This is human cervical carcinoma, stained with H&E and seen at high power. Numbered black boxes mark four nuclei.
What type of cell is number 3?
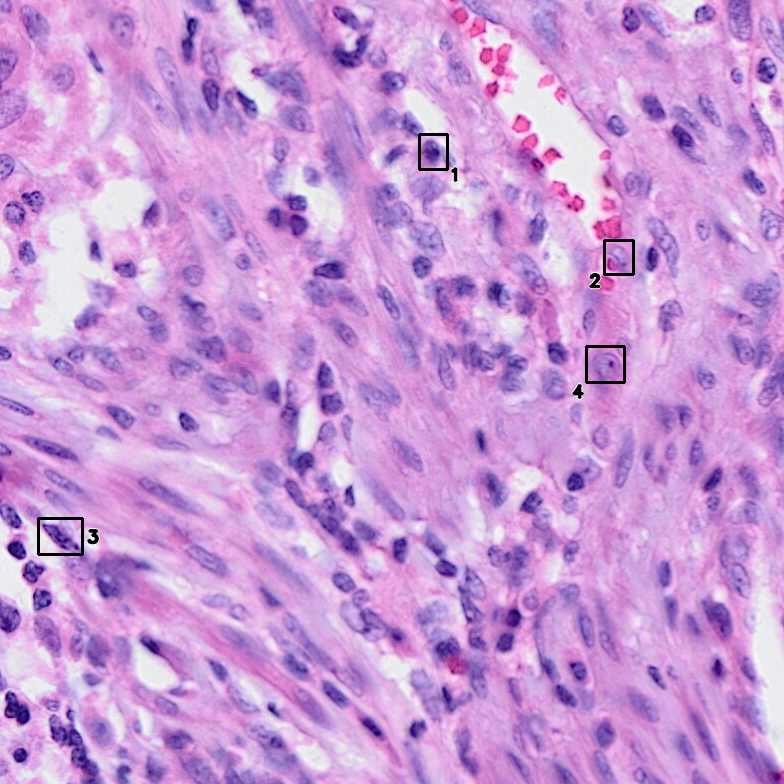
lymphocyte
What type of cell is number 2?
endothelial cell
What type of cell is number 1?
lymphocyte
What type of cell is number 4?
endothelial cell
